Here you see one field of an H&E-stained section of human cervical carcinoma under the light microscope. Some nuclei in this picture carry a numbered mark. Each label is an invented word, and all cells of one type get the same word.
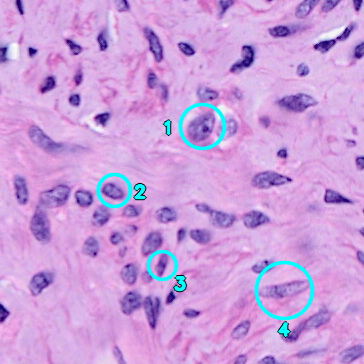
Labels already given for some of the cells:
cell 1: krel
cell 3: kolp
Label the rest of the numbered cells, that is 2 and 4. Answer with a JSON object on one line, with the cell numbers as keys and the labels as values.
{"2": "kolp", "4": "kolp"}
